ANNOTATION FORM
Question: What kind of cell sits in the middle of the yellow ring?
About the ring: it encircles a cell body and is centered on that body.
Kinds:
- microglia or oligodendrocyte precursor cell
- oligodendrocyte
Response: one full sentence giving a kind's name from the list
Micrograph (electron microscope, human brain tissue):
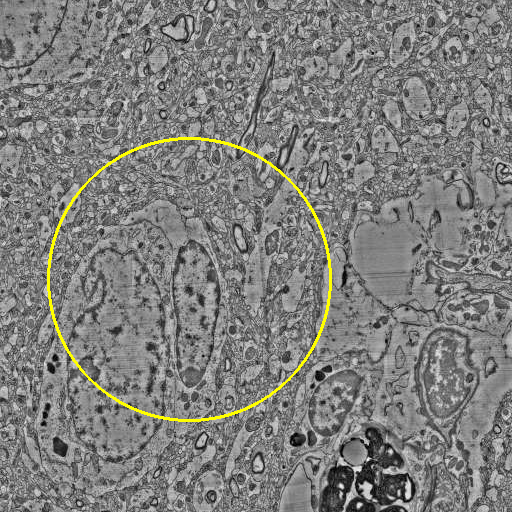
The kind of cell found at the center of the yellow ring in the micrograph is a microglial cell or oligodendrocyte precursor cell.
